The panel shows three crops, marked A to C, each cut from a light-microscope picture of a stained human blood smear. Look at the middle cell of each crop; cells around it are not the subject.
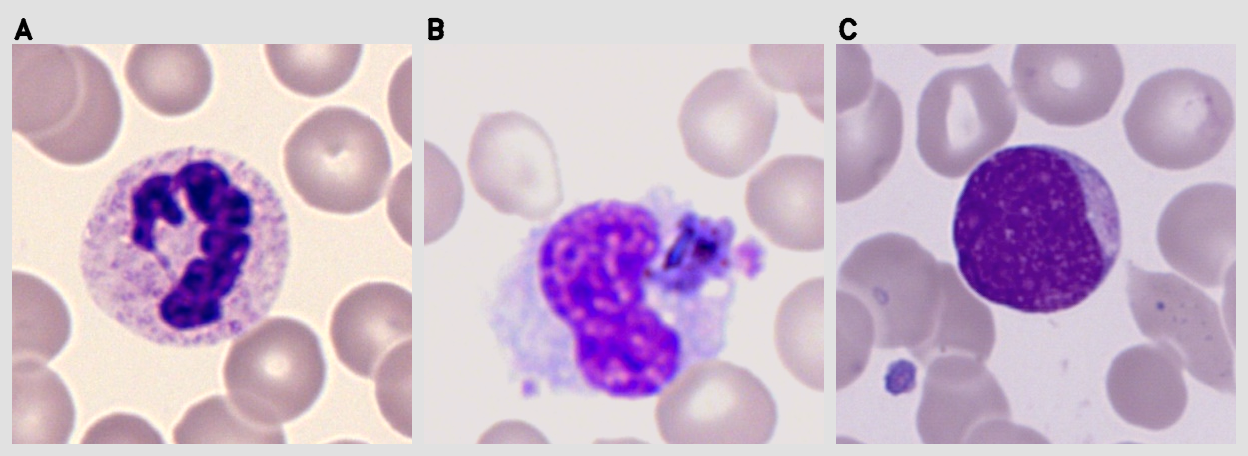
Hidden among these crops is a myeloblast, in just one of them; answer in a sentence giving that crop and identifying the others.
In crop C, the cell at the centre is a myeloblast, while crop A is a segmented neutrophil and crop B is a monocyte.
